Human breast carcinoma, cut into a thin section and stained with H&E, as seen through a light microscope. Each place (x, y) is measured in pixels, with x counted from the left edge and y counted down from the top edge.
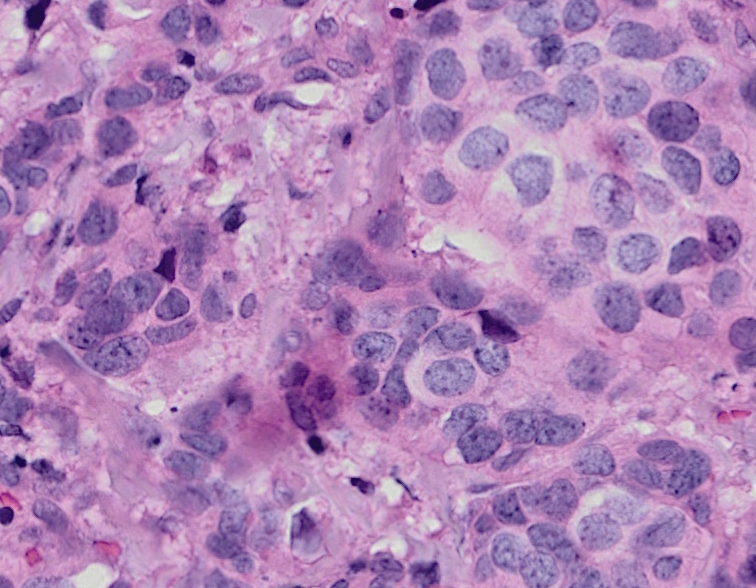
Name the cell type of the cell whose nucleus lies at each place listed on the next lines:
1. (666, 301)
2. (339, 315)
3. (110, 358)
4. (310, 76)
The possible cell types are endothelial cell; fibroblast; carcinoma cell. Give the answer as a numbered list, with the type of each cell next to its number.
1. carcinoma cell
2. carcinoma cell
3. carcinoma cell
4. endothelial cell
